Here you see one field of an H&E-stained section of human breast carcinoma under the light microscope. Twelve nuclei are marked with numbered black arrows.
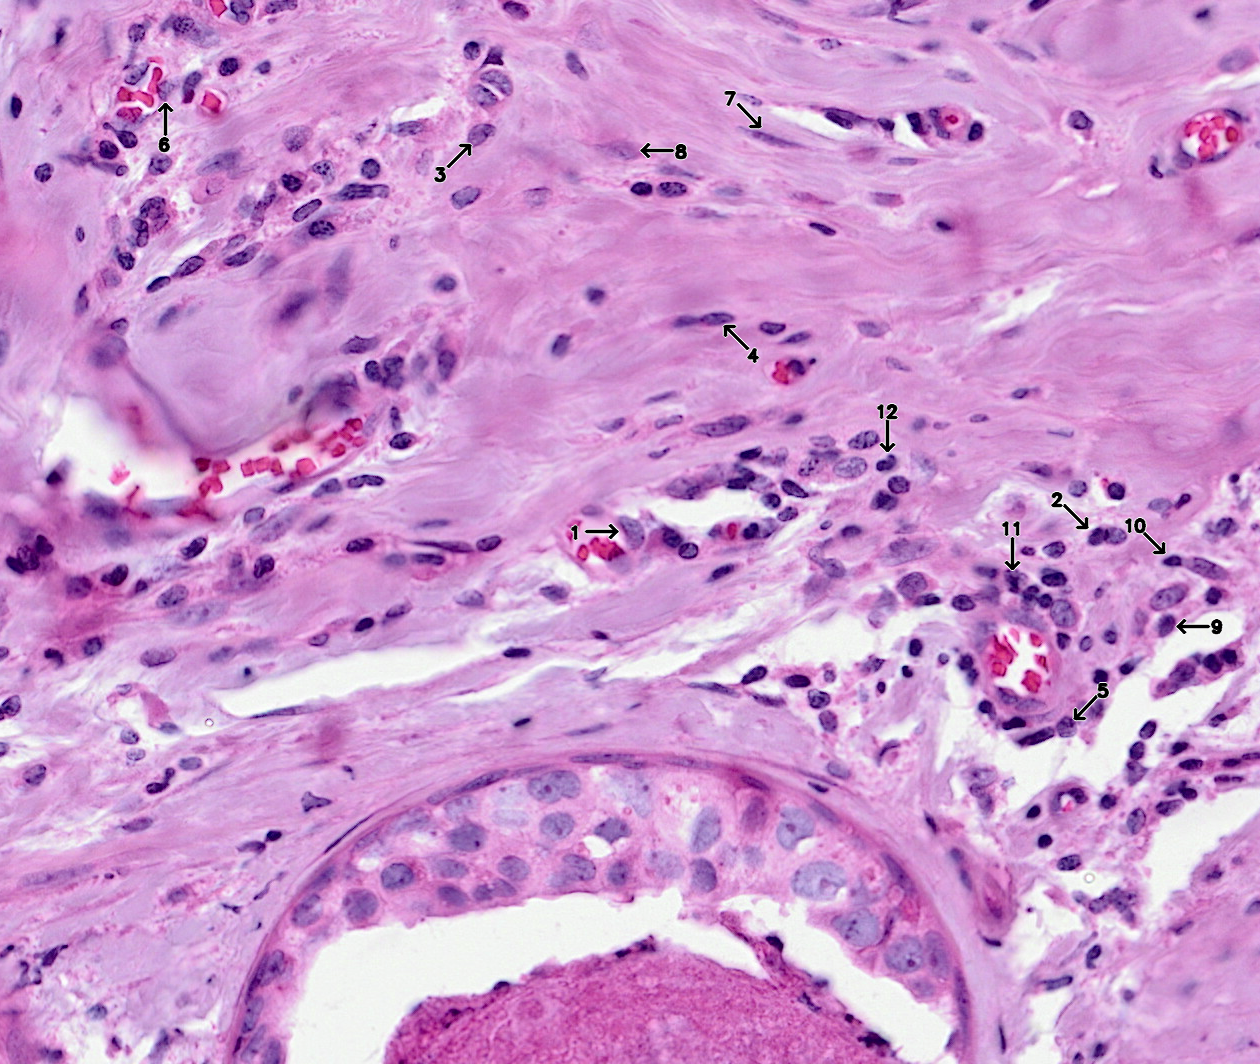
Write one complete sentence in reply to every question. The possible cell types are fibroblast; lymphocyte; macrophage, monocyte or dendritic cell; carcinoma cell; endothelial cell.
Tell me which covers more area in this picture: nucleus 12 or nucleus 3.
The larger nucleus is 3, at roughly 1.5 times the area of 12.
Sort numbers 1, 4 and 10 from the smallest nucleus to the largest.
Smallest first, the nuclei run 10, 4, 1.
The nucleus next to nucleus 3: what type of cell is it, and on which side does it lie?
Just above nucleus 3 lies the nearest nucleus, which belongs to an endothelial cell.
